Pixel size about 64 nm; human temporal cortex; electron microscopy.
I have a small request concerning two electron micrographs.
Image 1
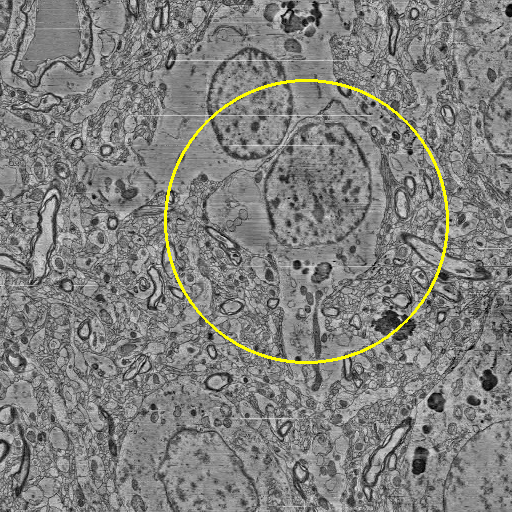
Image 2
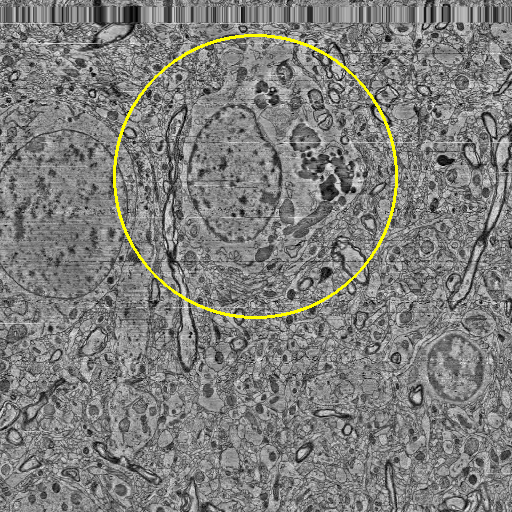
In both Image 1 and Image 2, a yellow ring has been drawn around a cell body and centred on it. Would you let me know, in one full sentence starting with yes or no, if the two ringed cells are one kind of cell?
Yes, the cells ringed in Image 1 and Image 2 are one kind of cell.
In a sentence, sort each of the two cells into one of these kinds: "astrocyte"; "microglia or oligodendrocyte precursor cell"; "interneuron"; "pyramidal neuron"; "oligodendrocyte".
In each picture the ringed cell is an astrocyte.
